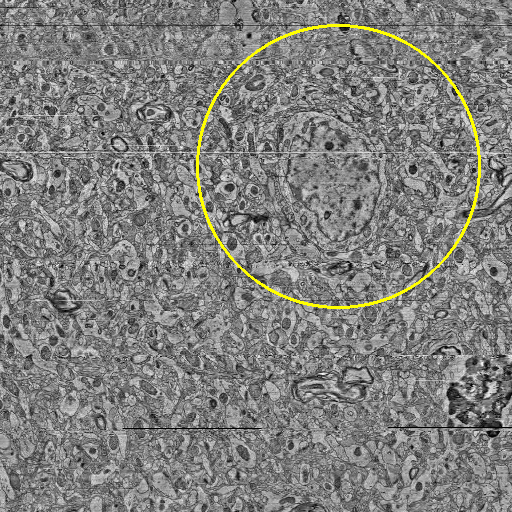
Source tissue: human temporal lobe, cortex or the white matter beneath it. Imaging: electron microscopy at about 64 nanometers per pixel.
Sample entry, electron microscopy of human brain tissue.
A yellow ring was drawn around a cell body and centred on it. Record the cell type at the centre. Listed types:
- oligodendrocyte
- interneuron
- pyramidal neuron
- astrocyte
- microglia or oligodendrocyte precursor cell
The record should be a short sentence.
The cell at the ring's centre is an interneuron.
